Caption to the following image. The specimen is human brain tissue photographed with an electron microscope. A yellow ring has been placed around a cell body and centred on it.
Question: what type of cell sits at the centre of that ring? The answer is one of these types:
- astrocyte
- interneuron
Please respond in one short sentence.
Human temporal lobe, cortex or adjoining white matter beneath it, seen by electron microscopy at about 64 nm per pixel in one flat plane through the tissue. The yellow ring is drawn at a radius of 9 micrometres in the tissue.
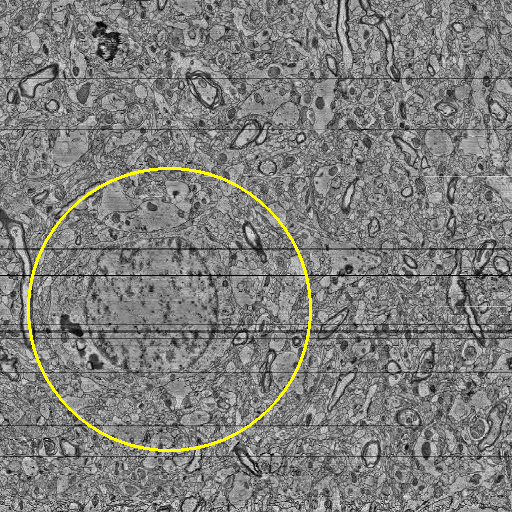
The ring surrounds the cell body of an interneuron.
